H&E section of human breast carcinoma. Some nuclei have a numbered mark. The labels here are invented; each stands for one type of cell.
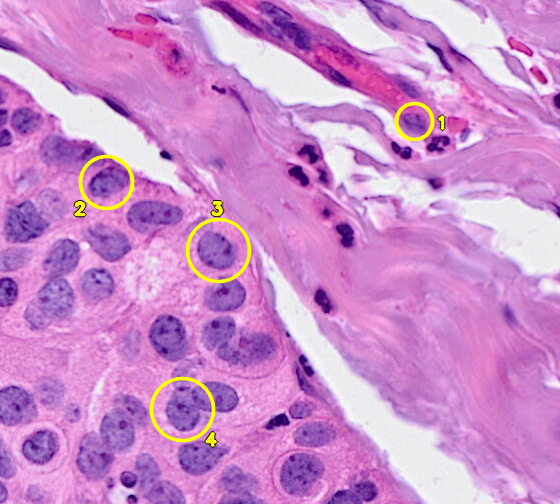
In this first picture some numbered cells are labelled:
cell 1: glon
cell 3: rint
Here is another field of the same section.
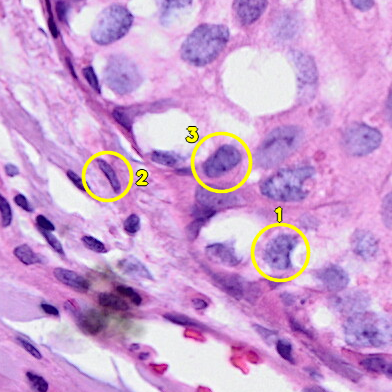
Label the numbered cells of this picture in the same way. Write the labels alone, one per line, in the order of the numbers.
rint
glon
rint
